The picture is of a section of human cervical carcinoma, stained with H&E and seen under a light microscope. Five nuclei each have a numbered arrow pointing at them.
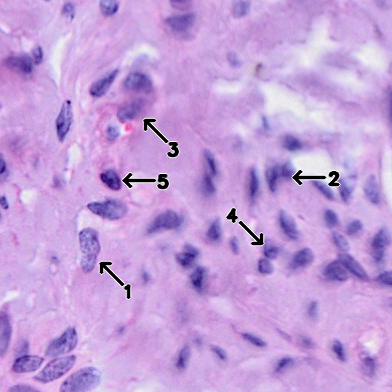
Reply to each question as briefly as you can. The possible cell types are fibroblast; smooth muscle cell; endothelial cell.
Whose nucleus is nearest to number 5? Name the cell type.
fibroblast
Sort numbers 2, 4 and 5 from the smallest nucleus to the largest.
4, 5, 2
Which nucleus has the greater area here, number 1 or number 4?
1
